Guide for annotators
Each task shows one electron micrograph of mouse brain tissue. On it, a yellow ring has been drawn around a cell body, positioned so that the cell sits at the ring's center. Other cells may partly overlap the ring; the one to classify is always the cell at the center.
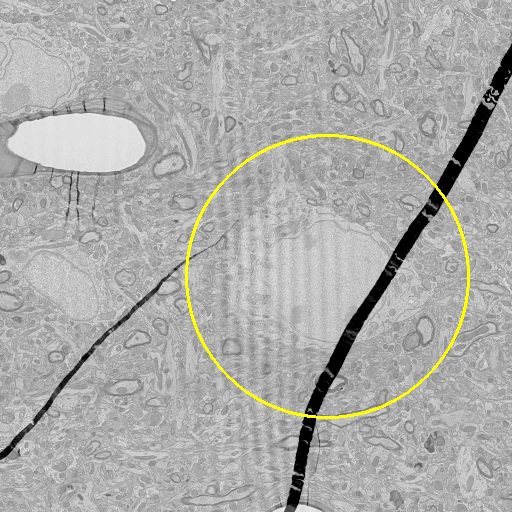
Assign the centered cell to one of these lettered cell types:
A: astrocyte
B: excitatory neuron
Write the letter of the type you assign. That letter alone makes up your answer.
B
